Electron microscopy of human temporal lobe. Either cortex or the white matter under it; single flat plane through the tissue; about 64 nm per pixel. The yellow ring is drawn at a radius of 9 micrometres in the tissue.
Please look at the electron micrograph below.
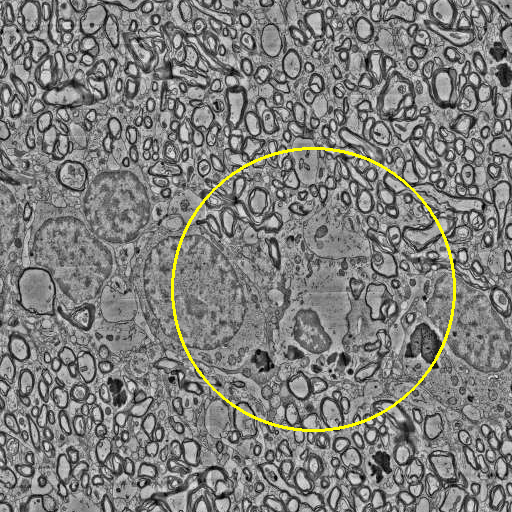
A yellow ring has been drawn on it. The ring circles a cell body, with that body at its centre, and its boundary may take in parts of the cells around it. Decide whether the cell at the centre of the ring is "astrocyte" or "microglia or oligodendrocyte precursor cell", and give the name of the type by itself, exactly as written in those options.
microglia or oligodendrocyte precursor cell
